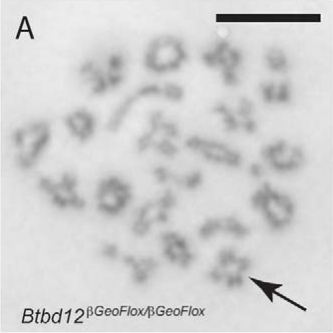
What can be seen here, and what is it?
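A spread of condensed meiotic chromosomes from a single spermatocyte, seen in grey on a pale background. Around twenty separate bivalents lie scattered across the field, each a dark, compact body. Many form closed rings, others appear as crosses or short rods, reflecting paired homologous chromosomes held together at points of exchange. One elongated rod-like bivalent lies near the centre. The arrowed bivalent near the lower edge is a ring with a knobbly outline.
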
